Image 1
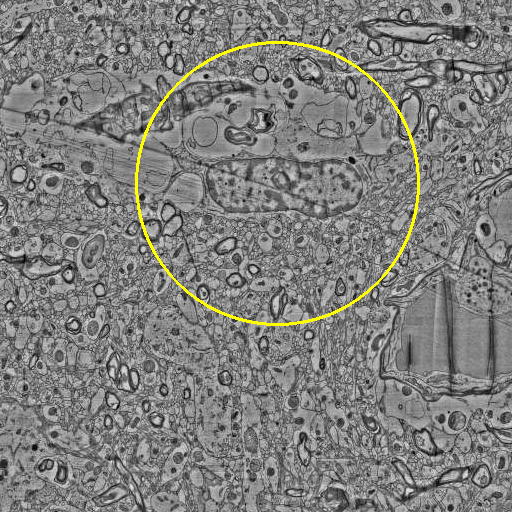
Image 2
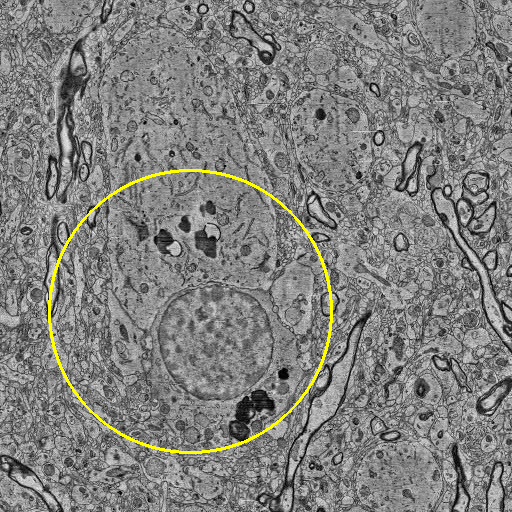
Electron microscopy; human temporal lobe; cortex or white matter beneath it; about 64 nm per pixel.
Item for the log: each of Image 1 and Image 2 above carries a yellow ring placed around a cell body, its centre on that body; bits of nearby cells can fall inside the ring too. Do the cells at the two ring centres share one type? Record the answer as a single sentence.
No, the two cells at the ring centres in Image 1 and Image 2 are of two types.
